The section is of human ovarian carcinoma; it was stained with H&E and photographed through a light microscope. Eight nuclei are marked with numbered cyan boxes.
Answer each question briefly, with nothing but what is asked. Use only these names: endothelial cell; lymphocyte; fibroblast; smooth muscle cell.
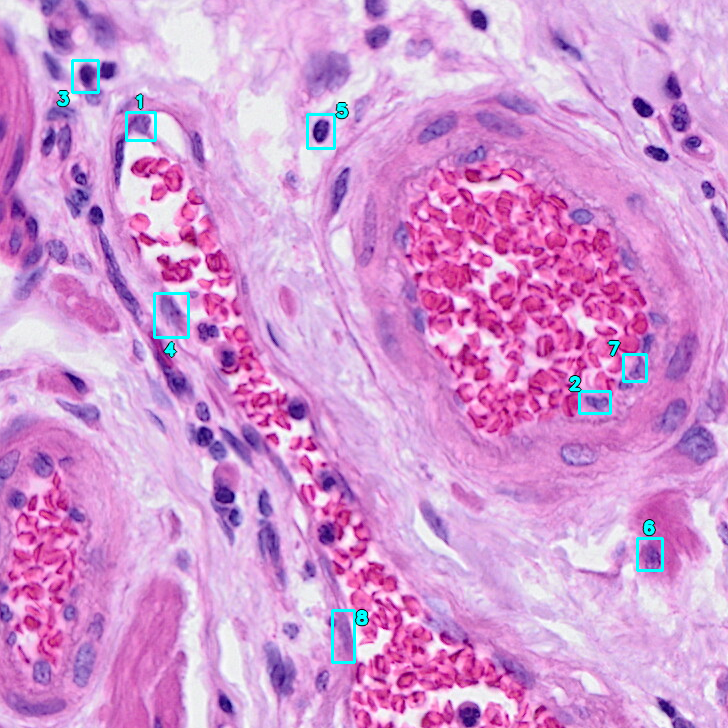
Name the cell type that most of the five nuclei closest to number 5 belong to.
fibroblast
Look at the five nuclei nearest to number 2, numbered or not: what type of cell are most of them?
endothelial cell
